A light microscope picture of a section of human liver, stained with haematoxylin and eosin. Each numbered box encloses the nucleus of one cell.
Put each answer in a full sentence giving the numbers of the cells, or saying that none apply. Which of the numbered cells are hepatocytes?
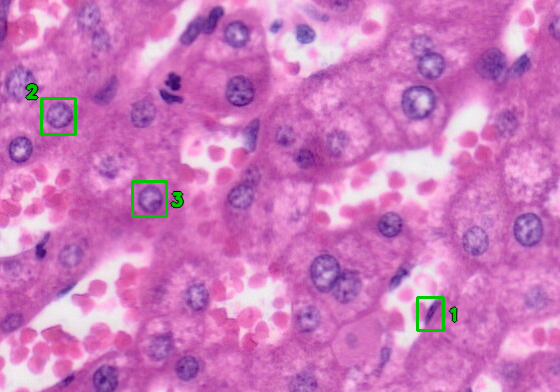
The cells which carry the numbers 2 and 3 are hepatocytes.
